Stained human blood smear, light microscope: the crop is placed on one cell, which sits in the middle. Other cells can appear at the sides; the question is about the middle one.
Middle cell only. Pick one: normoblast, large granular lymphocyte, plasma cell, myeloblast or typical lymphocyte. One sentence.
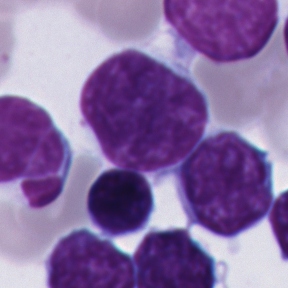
The cell under consideration, at the middle of the crop, is a myeloblast.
